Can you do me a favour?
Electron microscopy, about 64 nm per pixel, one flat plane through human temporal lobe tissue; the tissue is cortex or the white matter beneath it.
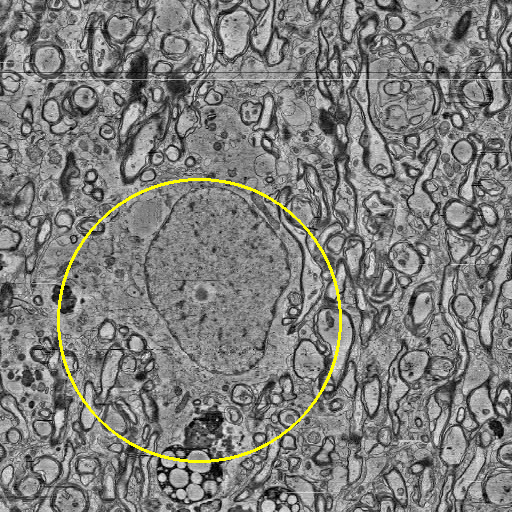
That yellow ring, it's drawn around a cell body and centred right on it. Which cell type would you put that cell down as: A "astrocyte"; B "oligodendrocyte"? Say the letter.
A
